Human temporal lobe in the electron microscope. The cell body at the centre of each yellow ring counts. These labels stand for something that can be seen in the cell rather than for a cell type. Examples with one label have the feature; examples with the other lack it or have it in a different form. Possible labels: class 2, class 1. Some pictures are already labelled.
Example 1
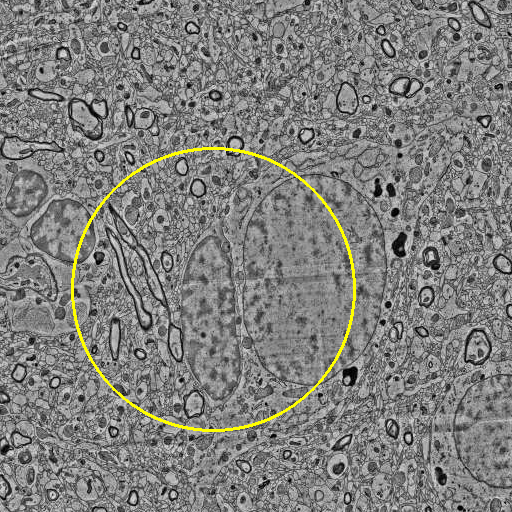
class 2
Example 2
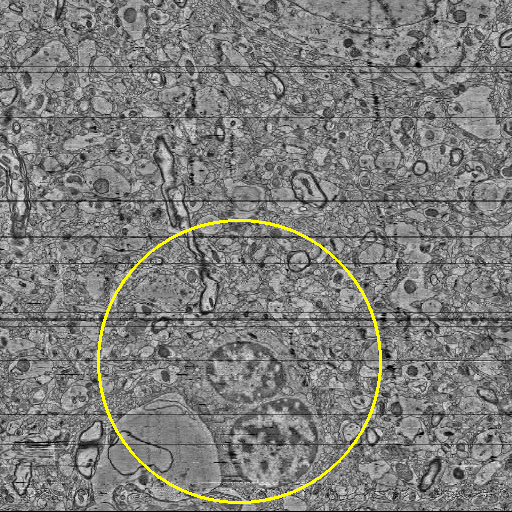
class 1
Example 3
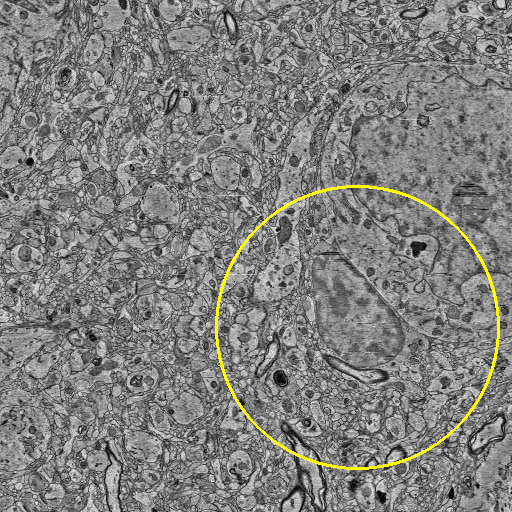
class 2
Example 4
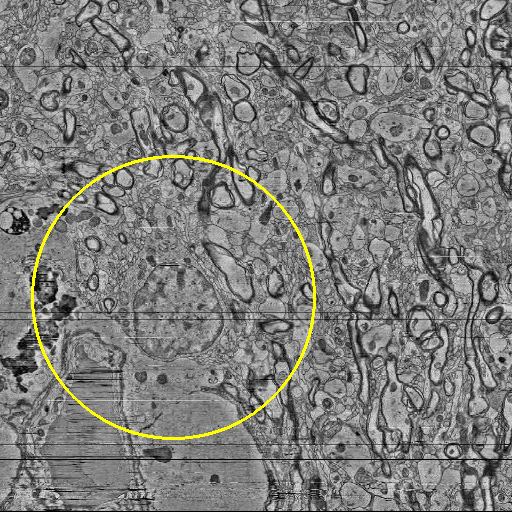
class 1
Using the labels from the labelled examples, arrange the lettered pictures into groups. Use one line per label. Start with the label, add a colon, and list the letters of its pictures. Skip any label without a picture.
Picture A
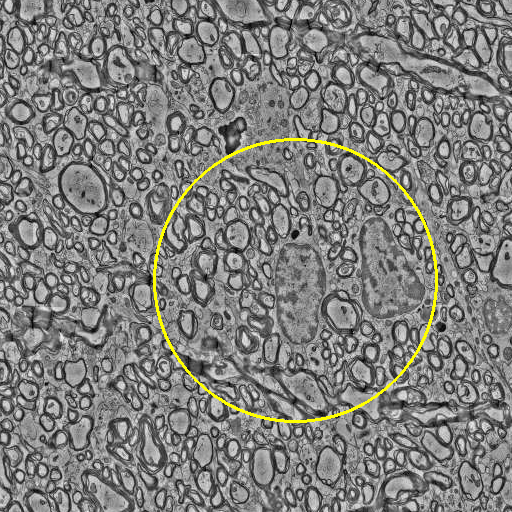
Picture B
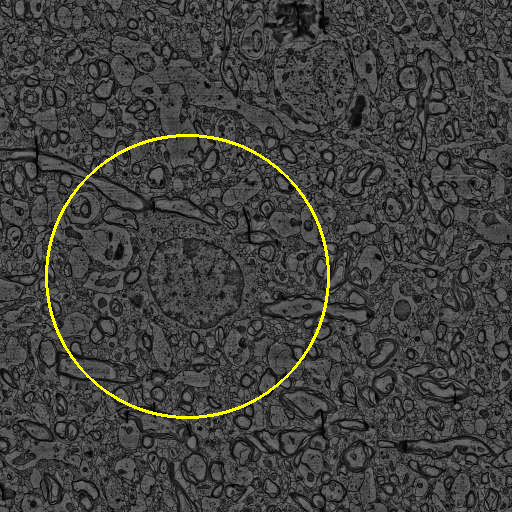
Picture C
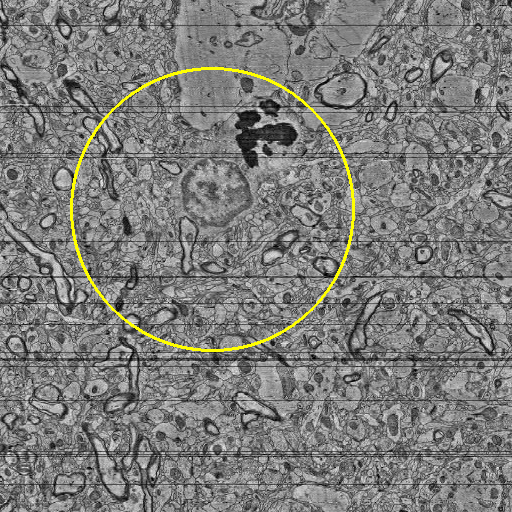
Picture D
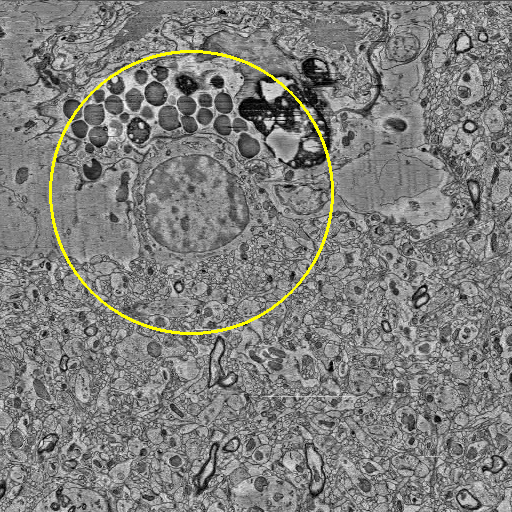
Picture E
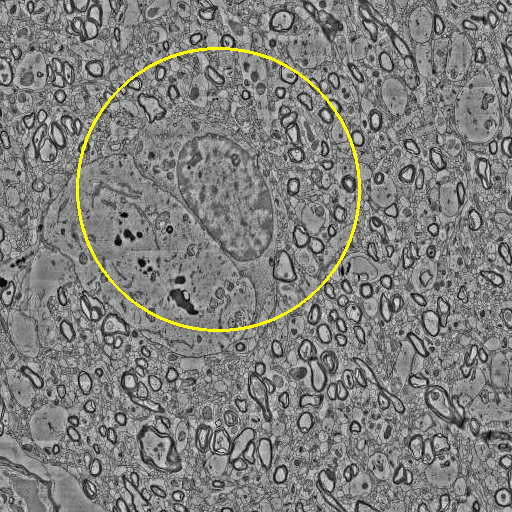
class 2: A, E
class 1: B, C, D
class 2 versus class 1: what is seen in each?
class 2: clearly elongated nuclei; class 1: round or nearly round nuclei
